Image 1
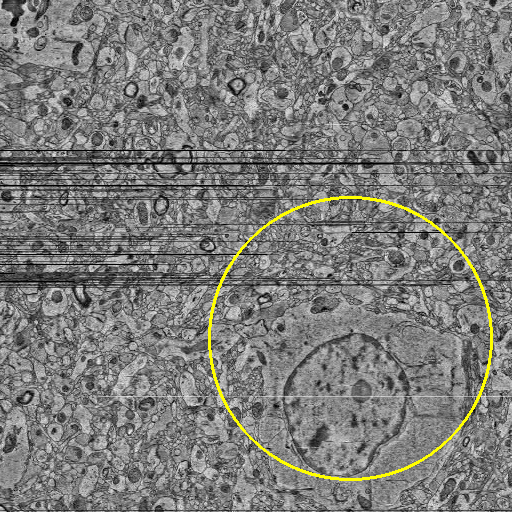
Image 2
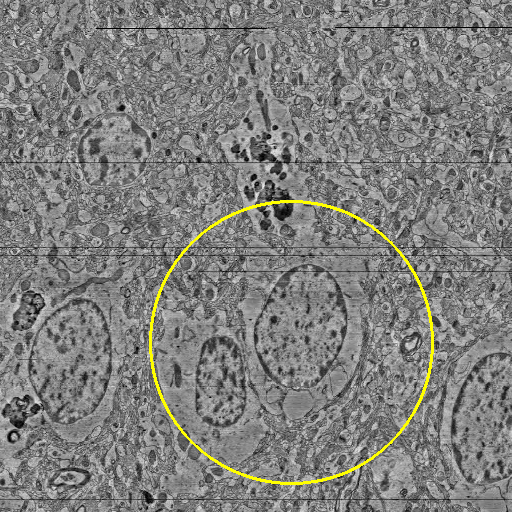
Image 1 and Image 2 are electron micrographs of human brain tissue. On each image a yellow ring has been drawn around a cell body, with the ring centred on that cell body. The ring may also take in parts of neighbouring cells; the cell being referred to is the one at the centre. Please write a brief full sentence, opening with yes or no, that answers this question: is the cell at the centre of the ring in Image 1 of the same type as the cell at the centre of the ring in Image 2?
Yes, both cells are of the same type.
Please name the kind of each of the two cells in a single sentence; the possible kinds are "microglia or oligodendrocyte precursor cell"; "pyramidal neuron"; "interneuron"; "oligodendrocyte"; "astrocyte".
Each of the ringed cells, first and second, is an astrocyte.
